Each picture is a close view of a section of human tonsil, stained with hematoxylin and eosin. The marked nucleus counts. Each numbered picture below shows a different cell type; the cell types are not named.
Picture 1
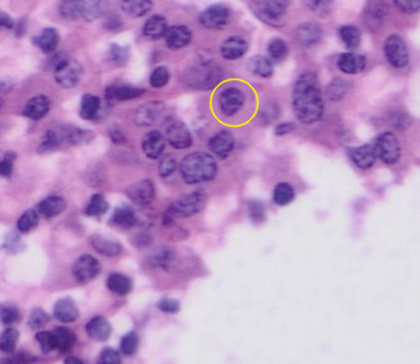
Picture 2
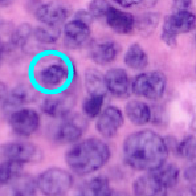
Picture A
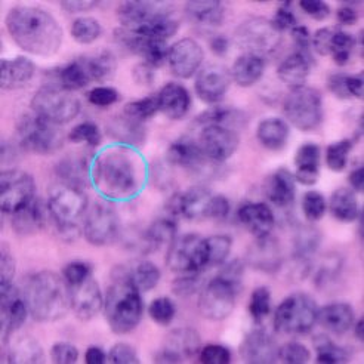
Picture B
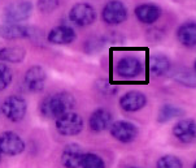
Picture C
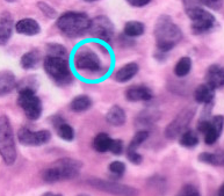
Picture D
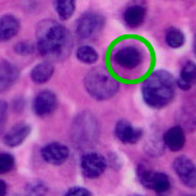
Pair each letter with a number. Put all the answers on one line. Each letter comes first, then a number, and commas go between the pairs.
A 2, B 1, C 2, D 1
